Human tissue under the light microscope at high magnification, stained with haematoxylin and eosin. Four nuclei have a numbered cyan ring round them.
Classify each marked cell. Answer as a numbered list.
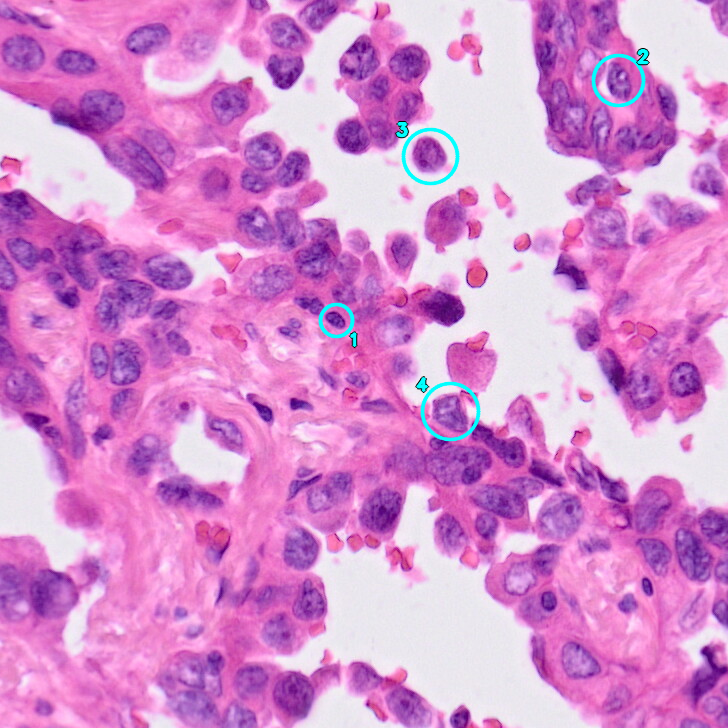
1. lymphocyte
2. carcinoma cell
3. carcinoma cell
4. carcinoma cell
